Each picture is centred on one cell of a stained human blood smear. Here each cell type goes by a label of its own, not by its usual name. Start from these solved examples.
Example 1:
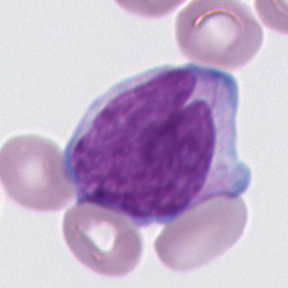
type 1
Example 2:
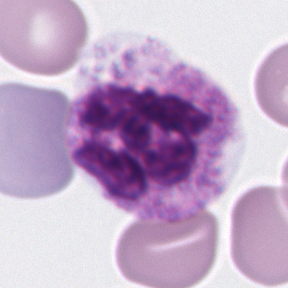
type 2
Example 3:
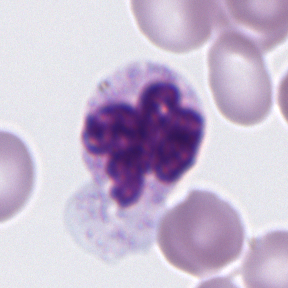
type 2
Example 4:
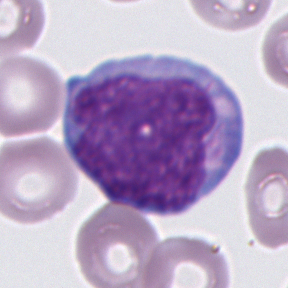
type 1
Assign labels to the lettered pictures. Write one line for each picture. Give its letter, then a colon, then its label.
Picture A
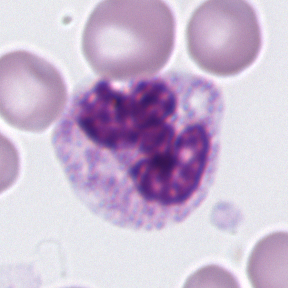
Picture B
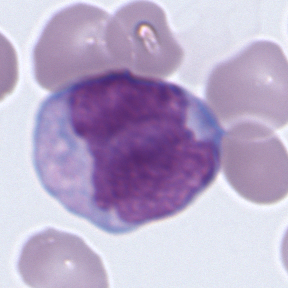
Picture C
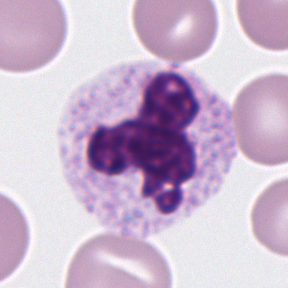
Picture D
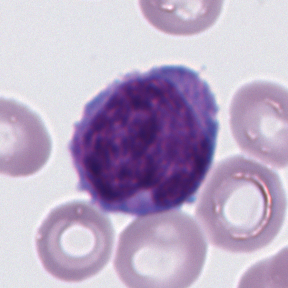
A: type 2
B: type 1
C: type 2
D: type 1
